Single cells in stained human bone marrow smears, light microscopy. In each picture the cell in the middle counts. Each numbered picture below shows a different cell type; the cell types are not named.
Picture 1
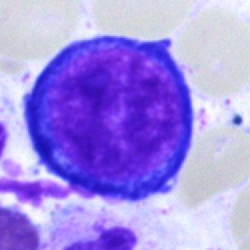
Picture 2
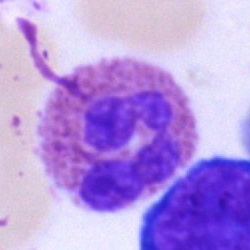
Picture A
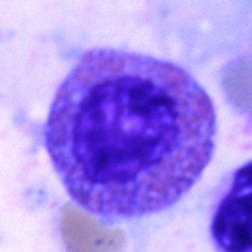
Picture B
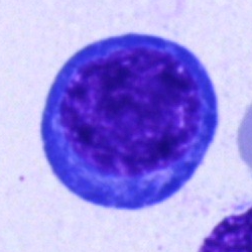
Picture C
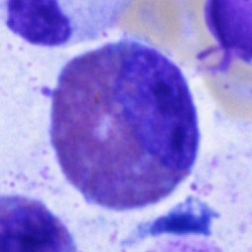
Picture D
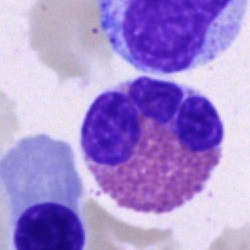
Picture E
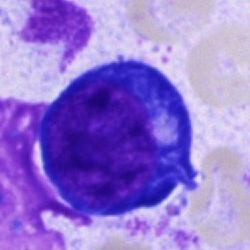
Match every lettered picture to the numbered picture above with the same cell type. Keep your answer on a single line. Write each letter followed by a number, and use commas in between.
A 2, B 1, C 2, D 2, E 1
